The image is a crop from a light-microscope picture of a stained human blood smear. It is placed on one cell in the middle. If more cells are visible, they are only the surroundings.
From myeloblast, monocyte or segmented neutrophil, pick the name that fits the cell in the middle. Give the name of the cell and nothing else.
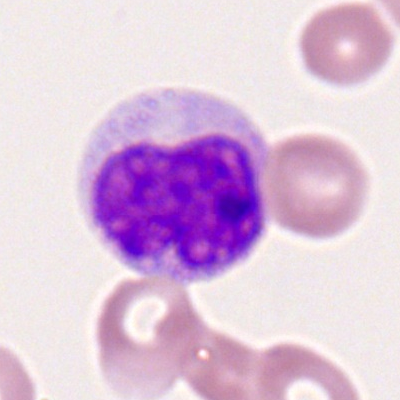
monocyte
